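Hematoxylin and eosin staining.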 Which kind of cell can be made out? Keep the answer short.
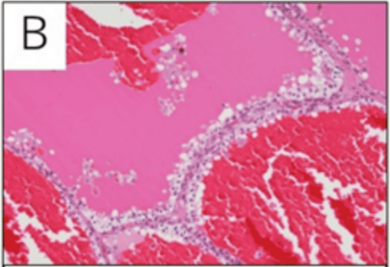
clear cells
